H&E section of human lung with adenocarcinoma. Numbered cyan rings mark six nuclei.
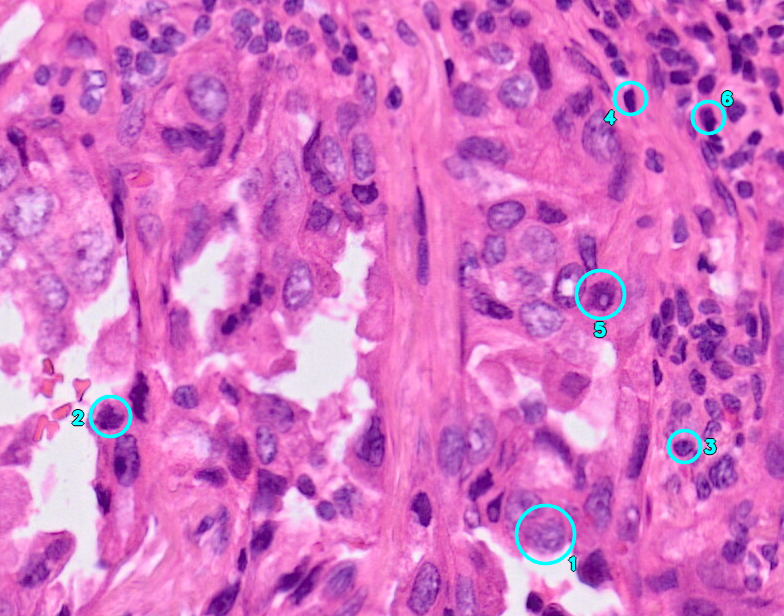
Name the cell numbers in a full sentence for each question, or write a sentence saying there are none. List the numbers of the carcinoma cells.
Within the section, cells numbered 1, 2 and 5 are carcinoma cells.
